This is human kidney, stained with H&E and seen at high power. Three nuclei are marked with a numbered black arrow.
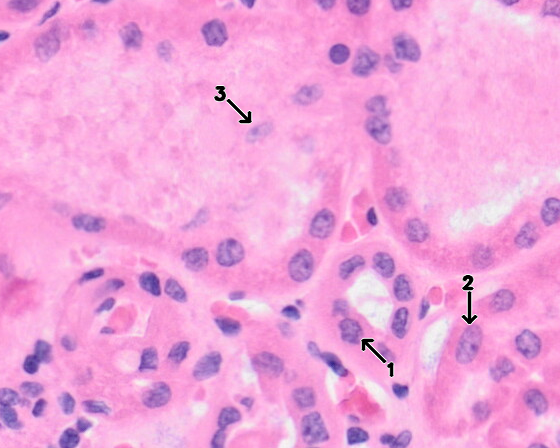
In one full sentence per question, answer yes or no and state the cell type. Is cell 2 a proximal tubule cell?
Yes, the cell referred to as number 2 is a proximal tubule cell.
